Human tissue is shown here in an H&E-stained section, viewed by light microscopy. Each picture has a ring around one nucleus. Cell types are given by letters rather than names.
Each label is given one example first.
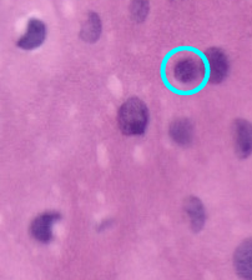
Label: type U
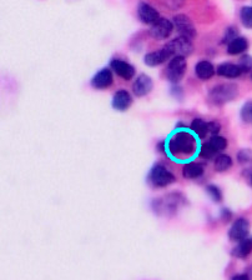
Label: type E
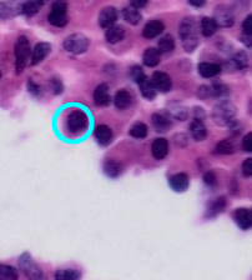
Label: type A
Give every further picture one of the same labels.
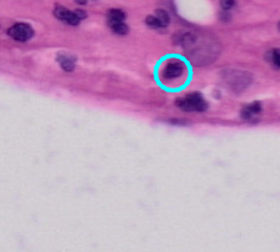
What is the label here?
type U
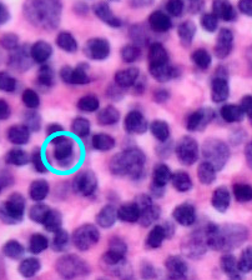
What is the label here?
type E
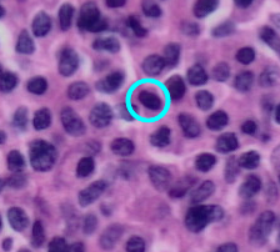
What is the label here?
type A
